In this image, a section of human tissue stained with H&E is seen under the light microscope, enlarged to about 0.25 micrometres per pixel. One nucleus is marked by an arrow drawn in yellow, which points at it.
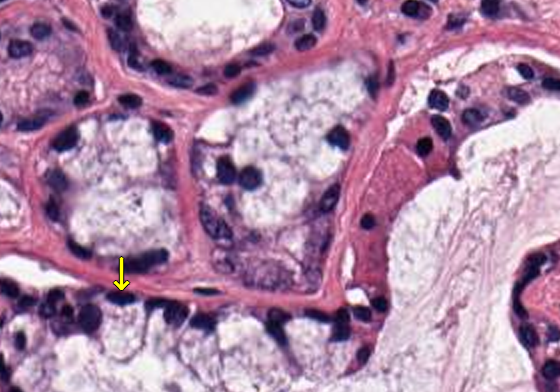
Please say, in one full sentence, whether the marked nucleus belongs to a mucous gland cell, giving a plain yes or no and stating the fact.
Yes, the marked nucleus is a part of a mucous gland cell.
